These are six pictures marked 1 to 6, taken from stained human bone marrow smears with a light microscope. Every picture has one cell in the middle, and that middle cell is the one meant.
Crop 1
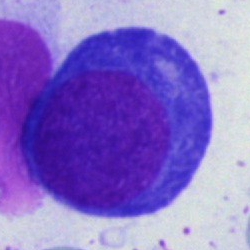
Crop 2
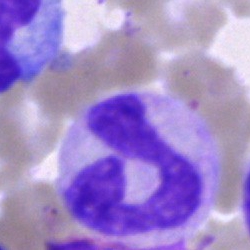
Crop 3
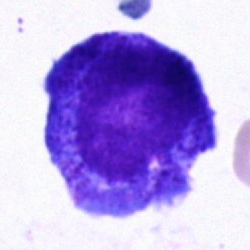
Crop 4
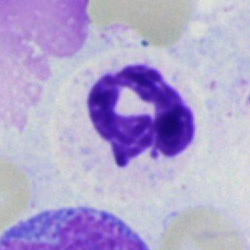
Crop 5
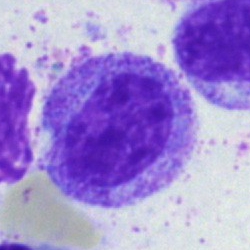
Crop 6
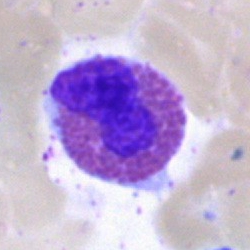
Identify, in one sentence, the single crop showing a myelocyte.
Crop 5 is the crop featuring a myelocyte at its center.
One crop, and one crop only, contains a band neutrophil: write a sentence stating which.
Crop 2 alone, of all the crops, shows a band neutrophil.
